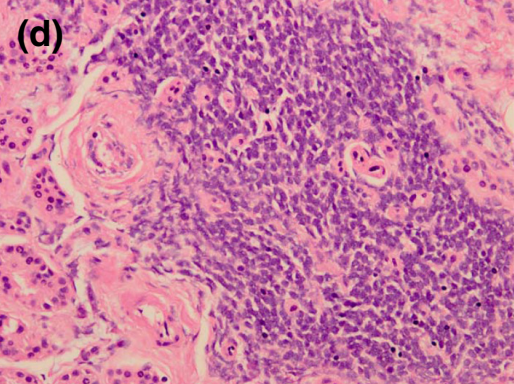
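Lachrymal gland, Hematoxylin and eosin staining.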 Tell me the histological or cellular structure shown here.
Lymphocytic aggregate.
